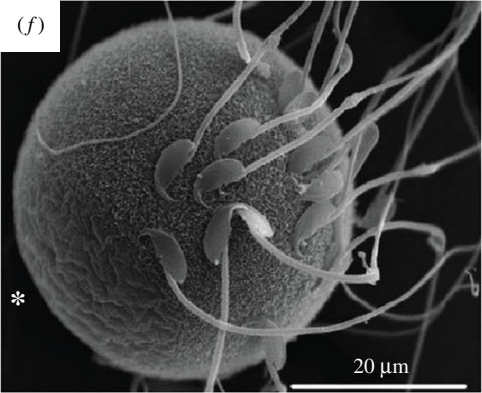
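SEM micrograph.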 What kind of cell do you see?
Egg.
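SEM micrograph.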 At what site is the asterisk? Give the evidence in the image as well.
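Microvilli-free region. No sperm heads are attached to the side of the egg next to the asterisk. The sperm heads cluster on the other part of the surface.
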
